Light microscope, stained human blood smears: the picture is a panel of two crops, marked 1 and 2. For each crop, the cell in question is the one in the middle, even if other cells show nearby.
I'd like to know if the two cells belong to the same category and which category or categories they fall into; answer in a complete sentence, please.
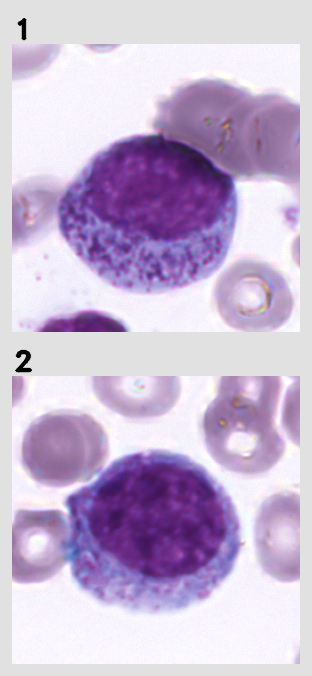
No, the labels go like this: crop 1 is a myelocyte and crop 2 is a promyelocyte.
